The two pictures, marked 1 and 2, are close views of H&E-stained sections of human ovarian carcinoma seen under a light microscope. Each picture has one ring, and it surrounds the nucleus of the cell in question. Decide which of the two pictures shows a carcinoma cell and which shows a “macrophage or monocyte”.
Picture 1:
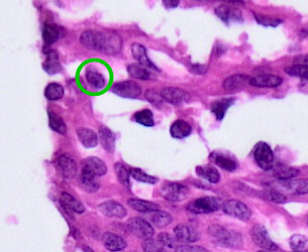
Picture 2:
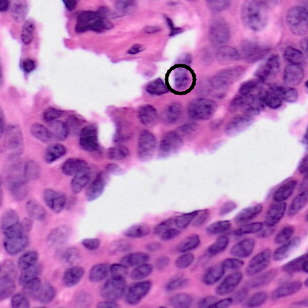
1: carcinoma cell
2: macrophage or monocyte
